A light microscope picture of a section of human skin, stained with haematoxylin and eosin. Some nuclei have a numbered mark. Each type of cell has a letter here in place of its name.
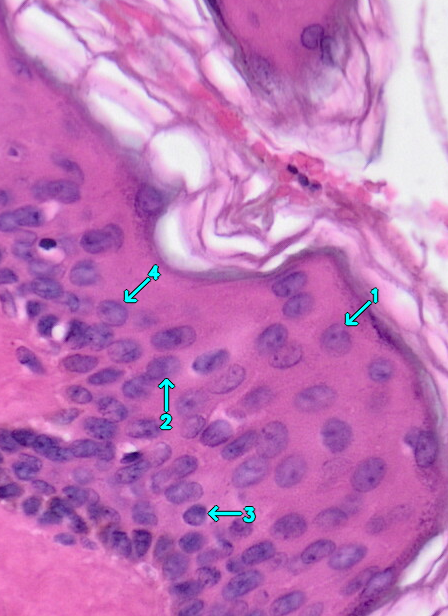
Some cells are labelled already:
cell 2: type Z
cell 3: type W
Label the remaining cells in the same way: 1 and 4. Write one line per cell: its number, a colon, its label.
1: type Z
4: type Z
